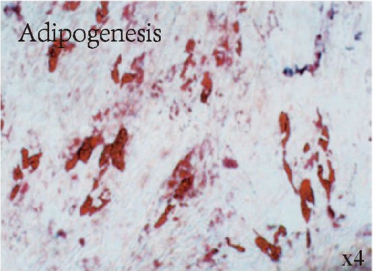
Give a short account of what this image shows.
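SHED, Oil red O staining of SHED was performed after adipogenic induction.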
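The red-filled cells are irregular to elongated and lie singly or in small groups. Around them is a pale, faintly outlined layer of unstained cells.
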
